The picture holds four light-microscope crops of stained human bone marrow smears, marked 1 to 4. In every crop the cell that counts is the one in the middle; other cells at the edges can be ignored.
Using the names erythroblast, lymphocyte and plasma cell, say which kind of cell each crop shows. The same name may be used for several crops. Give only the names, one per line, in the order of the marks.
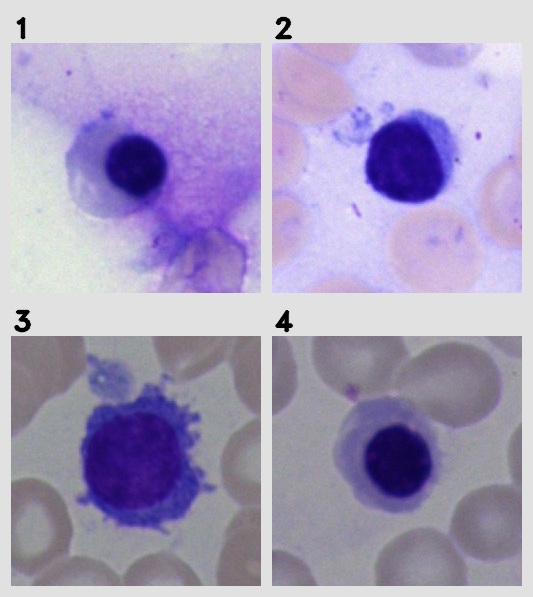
erythroblast
lymphocyte
plasma cell
erythroblast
